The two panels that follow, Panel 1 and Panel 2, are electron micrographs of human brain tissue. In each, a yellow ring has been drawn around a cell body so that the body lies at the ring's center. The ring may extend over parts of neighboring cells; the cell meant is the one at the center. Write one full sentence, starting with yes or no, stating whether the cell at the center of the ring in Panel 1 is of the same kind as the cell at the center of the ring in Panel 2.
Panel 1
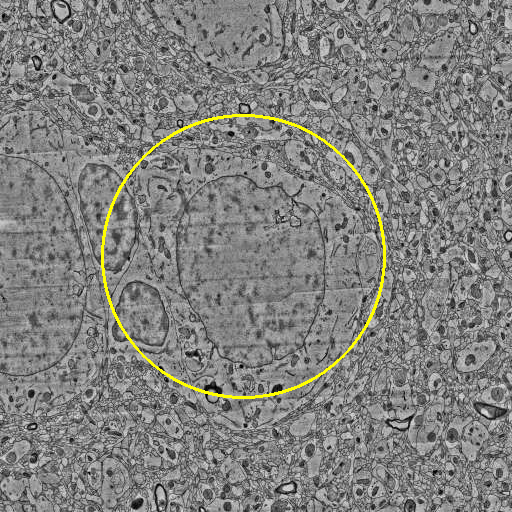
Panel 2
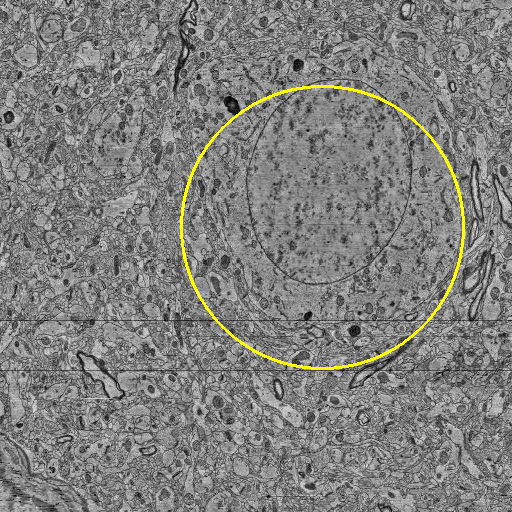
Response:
Yes, the cells in both panels are of the same kind.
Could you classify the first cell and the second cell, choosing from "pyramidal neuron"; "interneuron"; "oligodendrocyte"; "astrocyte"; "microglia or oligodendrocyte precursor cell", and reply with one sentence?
Both the first and the second picture show a pyramidal neuron in the ring.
